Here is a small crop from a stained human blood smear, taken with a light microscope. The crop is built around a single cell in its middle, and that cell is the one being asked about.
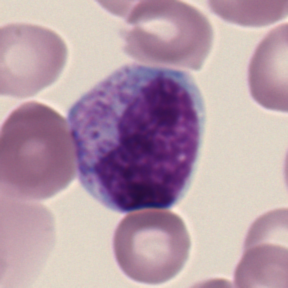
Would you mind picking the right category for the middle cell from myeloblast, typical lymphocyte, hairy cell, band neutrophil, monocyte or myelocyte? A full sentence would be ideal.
Here the cell in the middle is a myelocyte.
